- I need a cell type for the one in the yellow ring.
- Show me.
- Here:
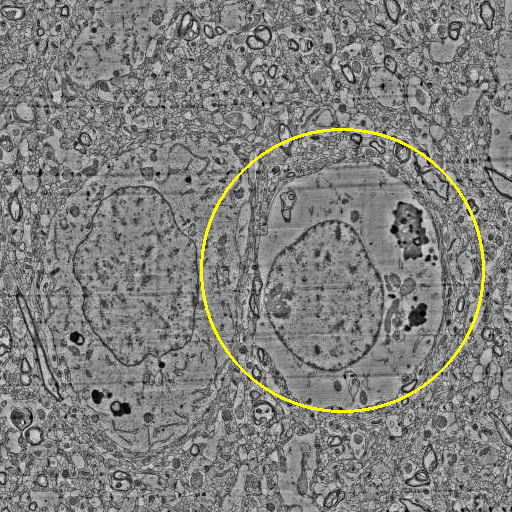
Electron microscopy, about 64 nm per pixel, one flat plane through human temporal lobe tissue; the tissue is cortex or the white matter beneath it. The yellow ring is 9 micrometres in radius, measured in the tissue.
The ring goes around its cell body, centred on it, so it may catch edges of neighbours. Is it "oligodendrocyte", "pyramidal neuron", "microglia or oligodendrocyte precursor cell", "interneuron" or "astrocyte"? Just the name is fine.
astrocyte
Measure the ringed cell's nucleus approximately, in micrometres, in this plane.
The nucleus appears roughly 10 by 7 micrometres in this plane.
